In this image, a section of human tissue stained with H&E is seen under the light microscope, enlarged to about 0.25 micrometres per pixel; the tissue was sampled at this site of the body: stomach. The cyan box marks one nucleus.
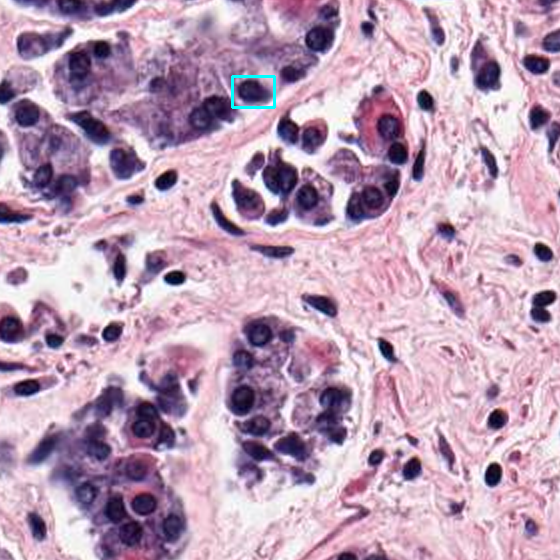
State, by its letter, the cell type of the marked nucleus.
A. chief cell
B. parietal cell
A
